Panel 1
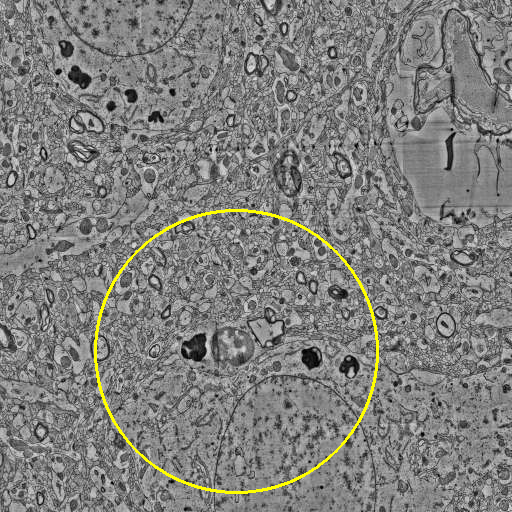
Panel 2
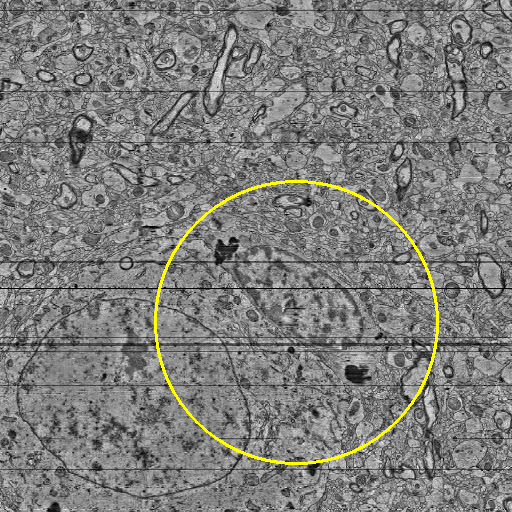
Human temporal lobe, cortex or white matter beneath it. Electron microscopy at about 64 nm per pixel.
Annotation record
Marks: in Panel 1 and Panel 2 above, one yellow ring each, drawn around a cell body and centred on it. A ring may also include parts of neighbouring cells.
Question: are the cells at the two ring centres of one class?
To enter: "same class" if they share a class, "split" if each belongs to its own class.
same class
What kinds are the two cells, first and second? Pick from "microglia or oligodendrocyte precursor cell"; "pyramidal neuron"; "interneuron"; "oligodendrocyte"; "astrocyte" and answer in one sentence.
In both pictures the ring is centred on an oligodendrocyte.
